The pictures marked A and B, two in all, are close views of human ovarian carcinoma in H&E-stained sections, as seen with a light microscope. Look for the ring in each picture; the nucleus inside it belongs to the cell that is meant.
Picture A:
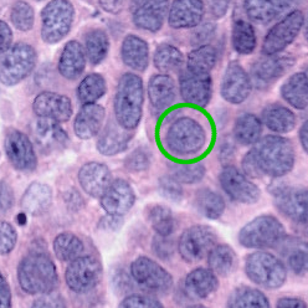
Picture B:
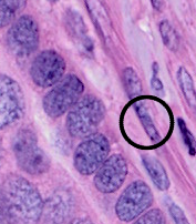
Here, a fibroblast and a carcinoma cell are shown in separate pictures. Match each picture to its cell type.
A: carcinoma cell
B: fibroblast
